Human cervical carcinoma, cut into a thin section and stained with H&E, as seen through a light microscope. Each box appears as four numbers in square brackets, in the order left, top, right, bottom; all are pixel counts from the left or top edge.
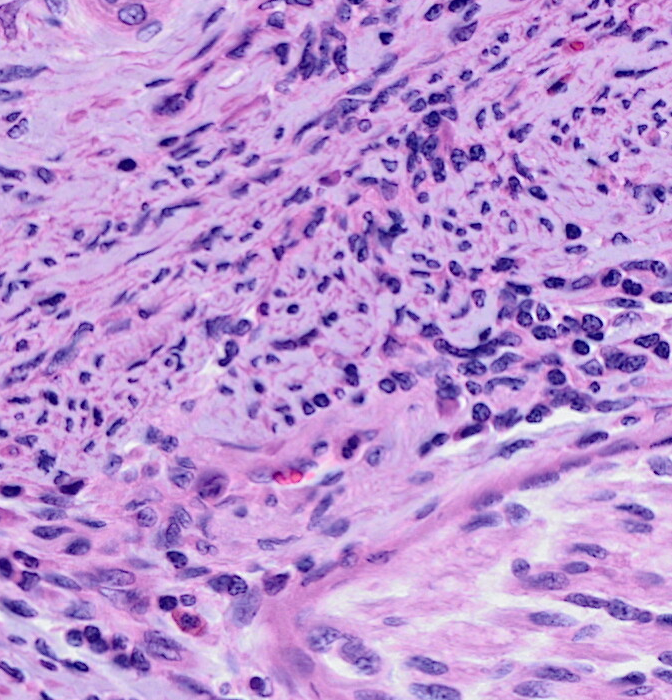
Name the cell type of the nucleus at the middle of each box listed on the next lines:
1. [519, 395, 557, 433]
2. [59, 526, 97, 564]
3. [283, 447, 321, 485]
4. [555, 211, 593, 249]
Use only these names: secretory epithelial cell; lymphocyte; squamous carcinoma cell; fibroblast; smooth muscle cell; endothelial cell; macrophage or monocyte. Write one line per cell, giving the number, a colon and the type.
1: lymphocyte
2: lymphocyte
3: endothelial cell
4: lymphocyte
